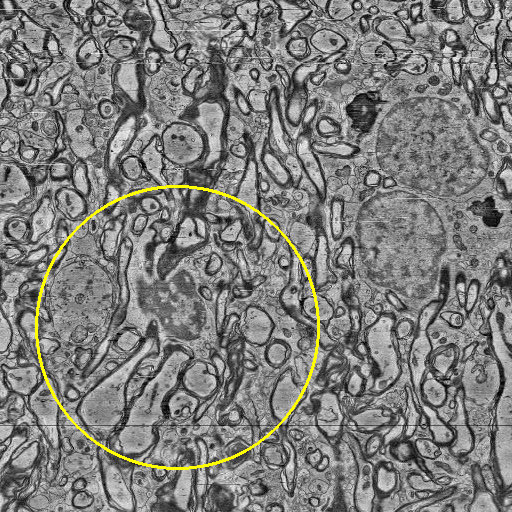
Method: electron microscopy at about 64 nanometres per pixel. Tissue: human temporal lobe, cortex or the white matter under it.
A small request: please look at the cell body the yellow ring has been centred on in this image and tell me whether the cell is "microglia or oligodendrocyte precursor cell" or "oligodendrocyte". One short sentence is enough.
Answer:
The cell marked by the ring is a microglial cell or oligodendrocyte precursor cell.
